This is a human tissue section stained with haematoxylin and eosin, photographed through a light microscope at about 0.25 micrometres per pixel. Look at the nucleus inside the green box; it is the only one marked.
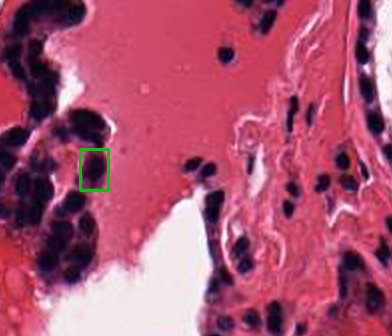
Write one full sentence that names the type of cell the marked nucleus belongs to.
The marked nucleus is found in a thyroid follicular cell.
